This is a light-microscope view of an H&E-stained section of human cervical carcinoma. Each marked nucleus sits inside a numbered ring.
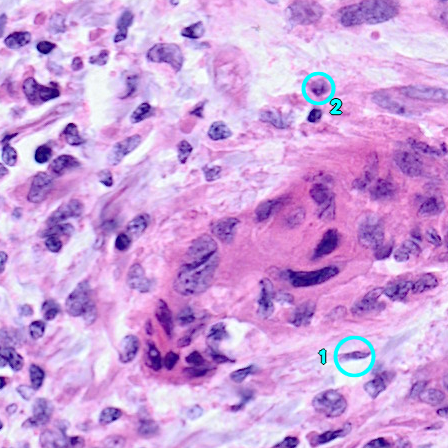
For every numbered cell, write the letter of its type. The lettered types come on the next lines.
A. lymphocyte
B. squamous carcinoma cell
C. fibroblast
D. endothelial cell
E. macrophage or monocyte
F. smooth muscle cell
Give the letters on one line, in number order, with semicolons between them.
C; E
